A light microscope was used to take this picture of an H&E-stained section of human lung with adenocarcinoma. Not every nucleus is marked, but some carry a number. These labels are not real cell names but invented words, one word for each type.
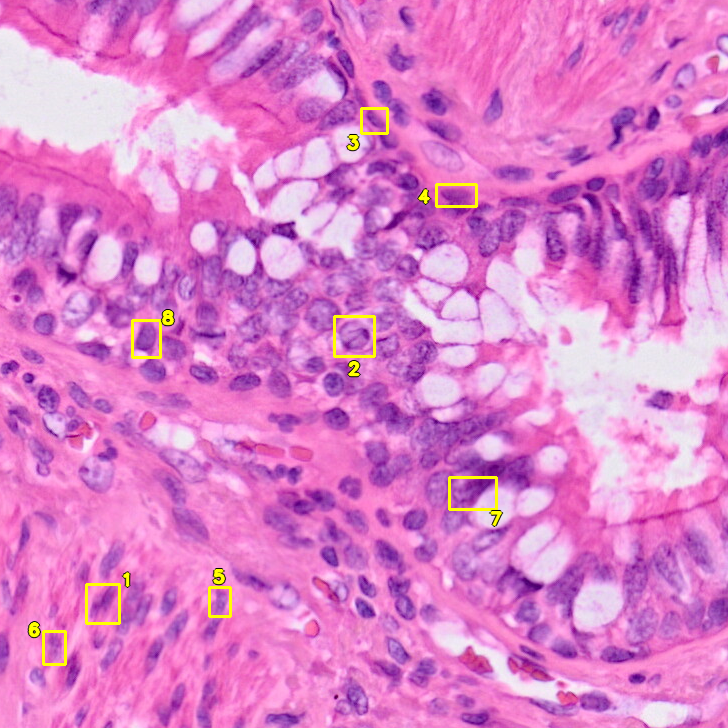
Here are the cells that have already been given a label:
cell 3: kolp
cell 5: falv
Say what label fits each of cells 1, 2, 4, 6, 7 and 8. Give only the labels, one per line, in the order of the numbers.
falv
kolp
kolp
falv
kolp
kolp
